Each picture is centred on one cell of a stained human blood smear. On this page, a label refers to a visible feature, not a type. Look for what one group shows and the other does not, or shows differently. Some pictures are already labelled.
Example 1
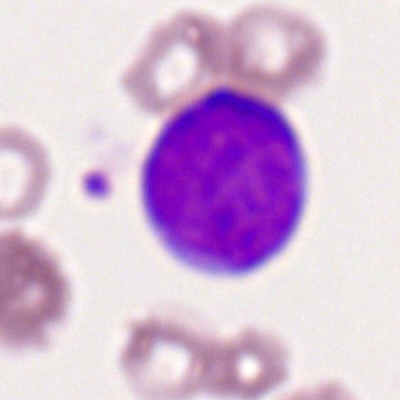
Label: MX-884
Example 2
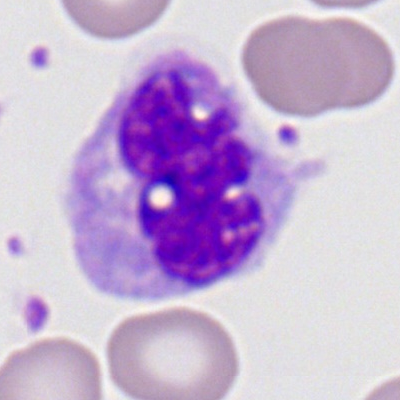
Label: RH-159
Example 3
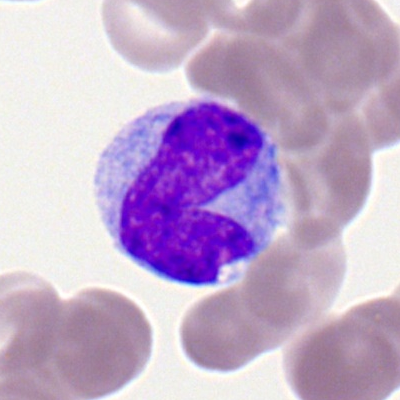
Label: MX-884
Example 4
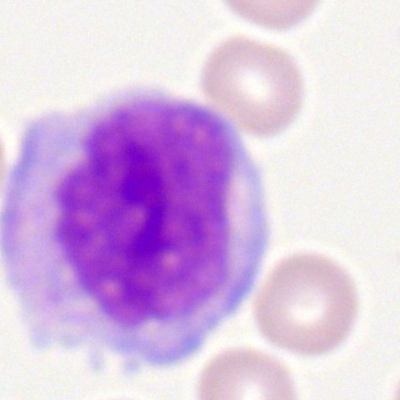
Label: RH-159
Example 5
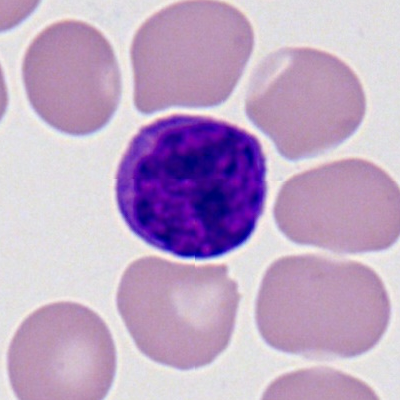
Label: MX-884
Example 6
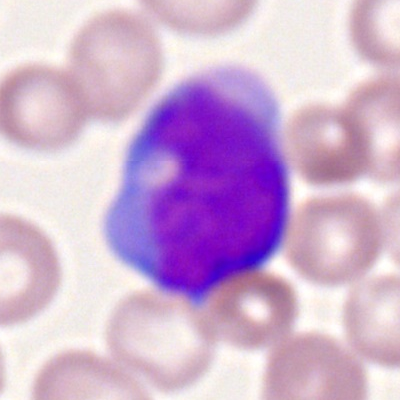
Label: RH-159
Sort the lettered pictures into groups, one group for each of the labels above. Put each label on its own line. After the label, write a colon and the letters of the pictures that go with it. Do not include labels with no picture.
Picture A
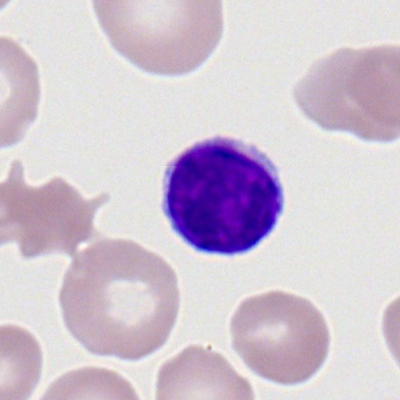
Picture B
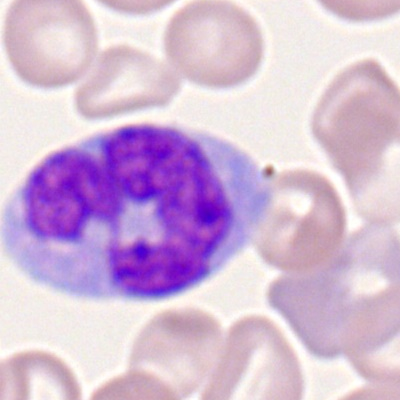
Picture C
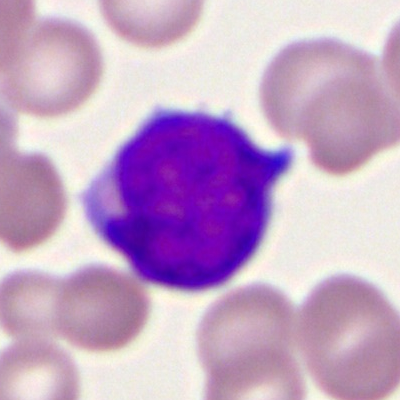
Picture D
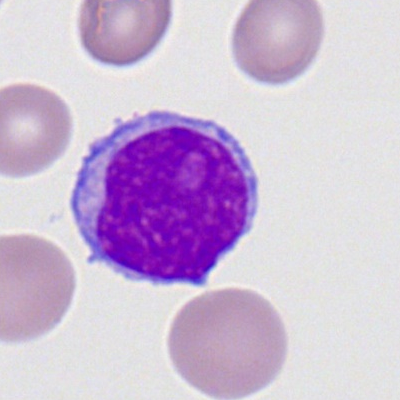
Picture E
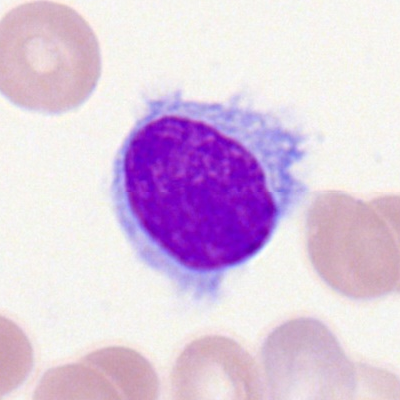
MX-884: A, B
RH-159: C, D, E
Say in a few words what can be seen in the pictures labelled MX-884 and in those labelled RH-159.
MX-884, smooth outline; RH-159, ragged outline or projections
